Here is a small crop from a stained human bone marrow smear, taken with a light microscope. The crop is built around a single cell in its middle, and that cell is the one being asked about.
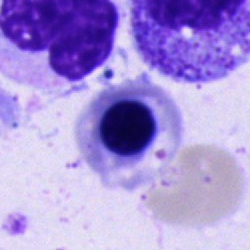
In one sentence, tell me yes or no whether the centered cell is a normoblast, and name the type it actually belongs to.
Yes, the identity of the central cell is that of a normoblast.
